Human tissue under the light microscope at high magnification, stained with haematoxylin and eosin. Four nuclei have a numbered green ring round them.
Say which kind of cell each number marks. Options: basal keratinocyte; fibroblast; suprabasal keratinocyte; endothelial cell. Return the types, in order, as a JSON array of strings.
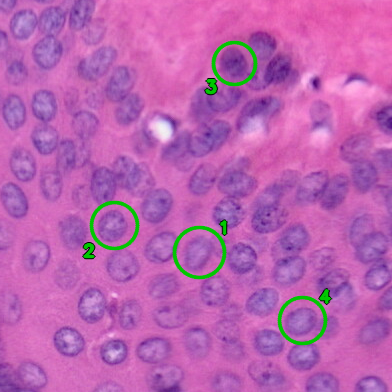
["suprabasal keratinocyte", "suprabasal keratinocyte", "basal keratinocyte", "suprabasal keratinocyte"]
